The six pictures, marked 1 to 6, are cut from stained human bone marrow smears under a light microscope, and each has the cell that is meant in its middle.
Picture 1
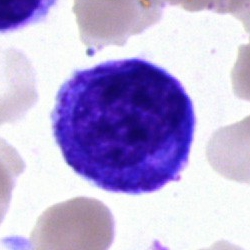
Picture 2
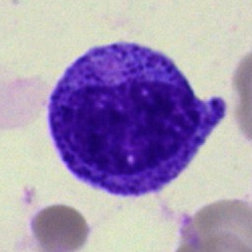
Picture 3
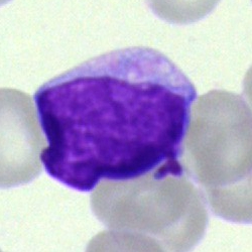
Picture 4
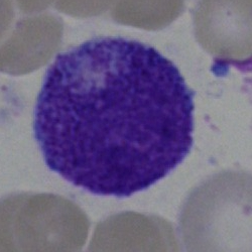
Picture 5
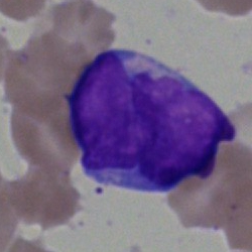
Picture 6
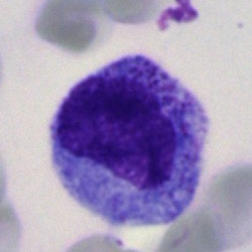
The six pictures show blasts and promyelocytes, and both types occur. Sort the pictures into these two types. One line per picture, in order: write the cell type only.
promyelocyte
promyelocyte
blast
promyelocyte
blast
promyelocyte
